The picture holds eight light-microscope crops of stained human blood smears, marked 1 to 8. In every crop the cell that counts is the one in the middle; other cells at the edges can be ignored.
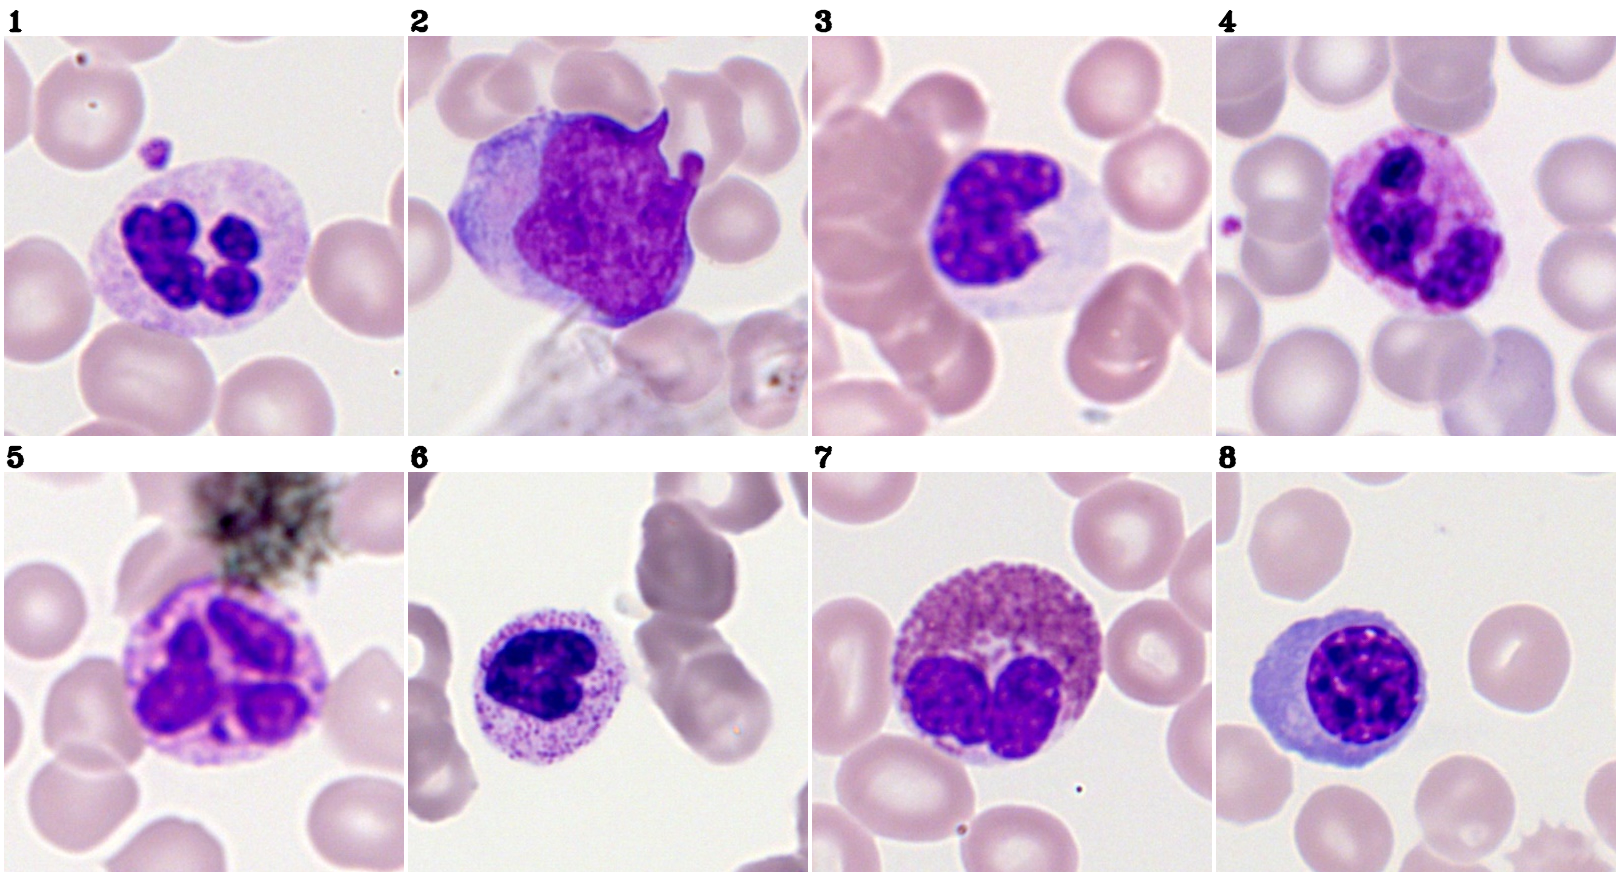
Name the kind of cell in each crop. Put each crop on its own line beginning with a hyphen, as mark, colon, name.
- 1: segmented neutrophil
- 2: myeloblast
- 3: band neutrophil
- 4: basophil
- 5: basophil
- 6: segmented neutrophil
- 7: eosinophil
- 8: normoblast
